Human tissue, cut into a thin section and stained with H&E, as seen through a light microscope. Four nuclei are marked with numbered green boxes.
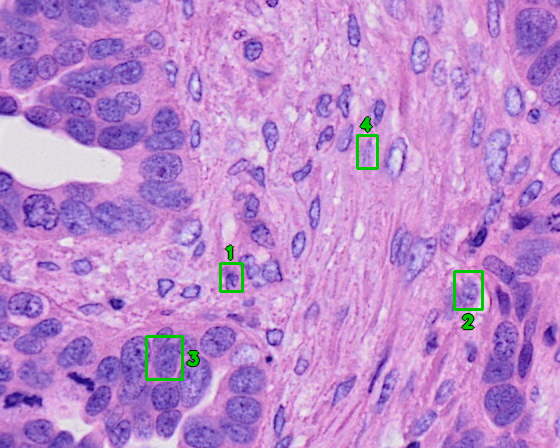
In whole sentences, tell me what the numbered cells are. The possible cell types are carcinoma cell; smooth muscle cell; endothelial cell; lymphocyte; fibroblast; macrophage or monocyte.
Cell 1 is a fibroblast, cell 2 is a fibroblast, cell 3 is a carcinoma cell and cell 4 is a fibroblast.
